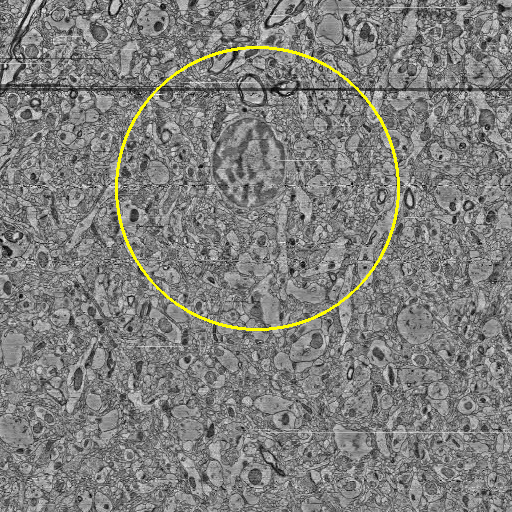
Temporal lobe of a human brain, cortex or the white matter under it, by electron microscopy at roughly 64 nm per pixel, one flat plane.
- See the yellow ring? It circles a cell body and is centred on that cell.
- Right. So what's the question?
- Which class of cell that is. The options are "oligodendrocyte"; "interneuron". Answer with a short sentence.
The centre of the ring holds an oligodendrocyte.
